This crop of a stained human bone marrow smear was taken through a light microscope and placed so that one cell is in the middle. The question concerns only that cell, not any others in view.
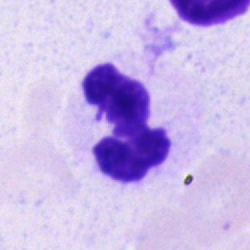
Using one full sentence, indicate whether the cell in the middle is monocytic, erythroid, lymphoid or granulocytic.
The lineage of the central cell is the granulocytic lineage.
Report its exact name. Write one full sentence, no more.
Standing at the centre of this crop is a segmented neutrophil.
